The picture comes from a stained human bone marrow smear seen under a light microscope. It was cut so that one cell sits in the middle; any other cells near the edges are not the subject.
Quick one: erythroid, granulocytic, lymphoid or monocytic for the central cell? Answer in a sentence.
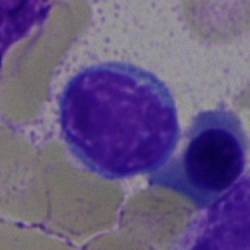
The cell at the center of this crop is categorized as lymphoid in lineage.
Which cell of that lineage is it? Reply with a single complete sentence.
The cell sitting right in the middle is a lymphocyte.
